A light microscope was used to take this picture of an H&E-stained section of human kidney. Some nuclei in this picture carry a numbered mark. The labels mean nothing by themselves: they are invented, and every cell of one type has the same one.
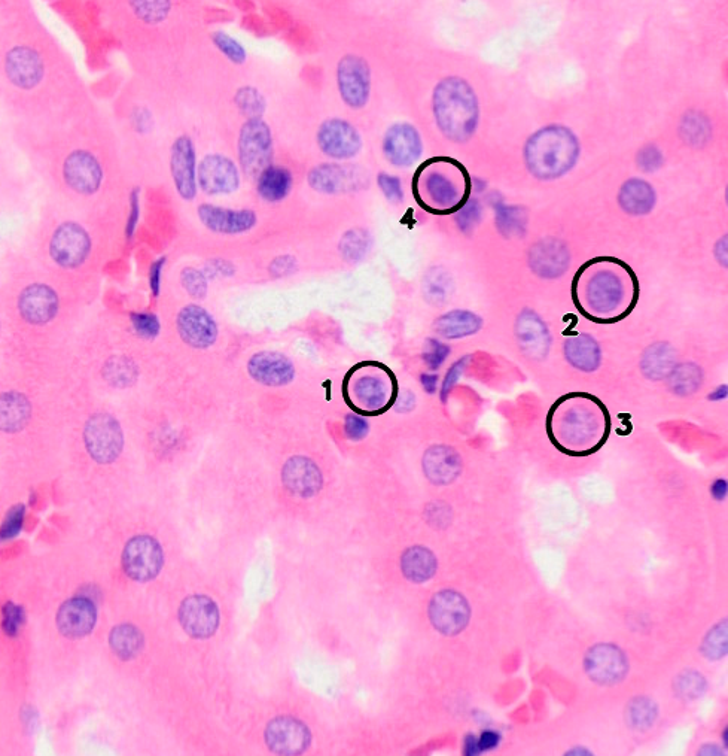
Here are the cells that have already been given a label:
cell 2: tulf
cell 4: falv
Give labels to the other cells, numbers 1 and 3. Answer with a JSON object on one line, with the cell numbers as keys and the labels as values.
{"1": "falv", "3": "tulf"}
